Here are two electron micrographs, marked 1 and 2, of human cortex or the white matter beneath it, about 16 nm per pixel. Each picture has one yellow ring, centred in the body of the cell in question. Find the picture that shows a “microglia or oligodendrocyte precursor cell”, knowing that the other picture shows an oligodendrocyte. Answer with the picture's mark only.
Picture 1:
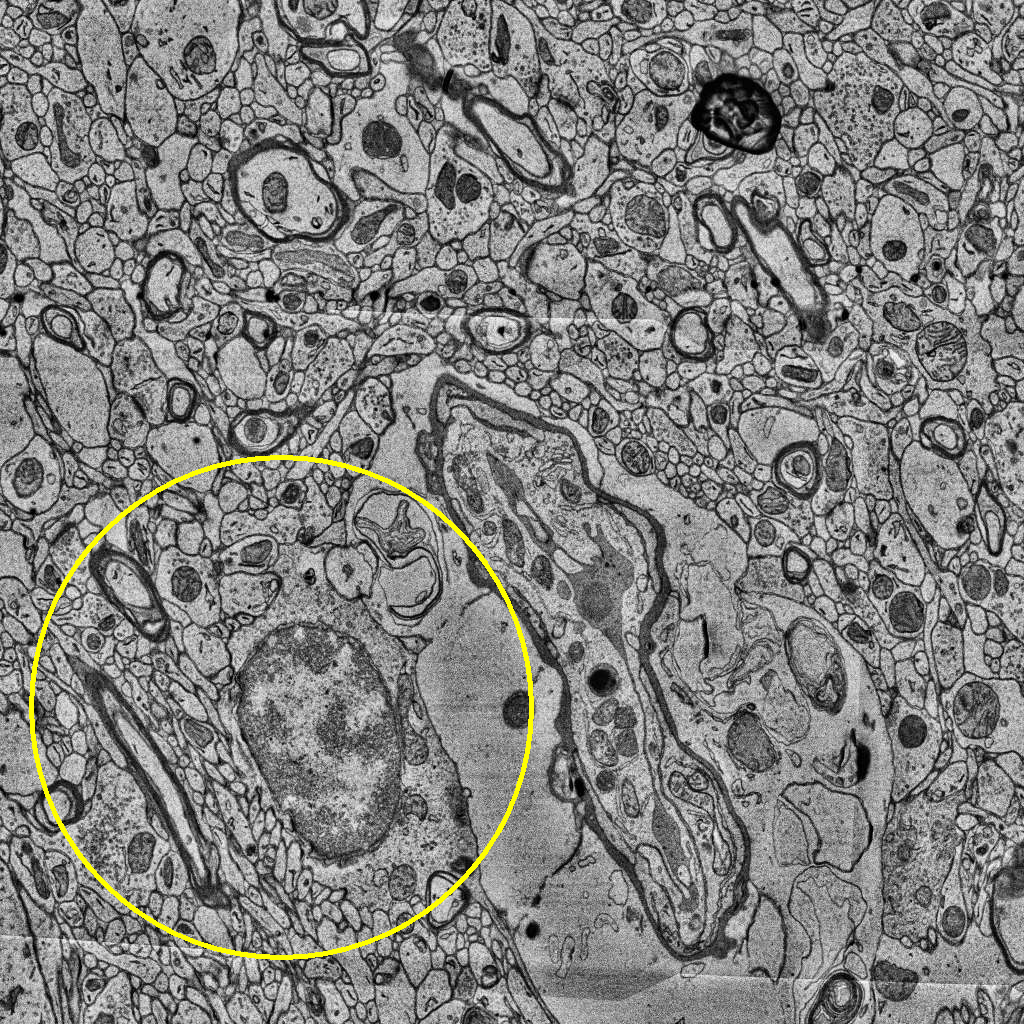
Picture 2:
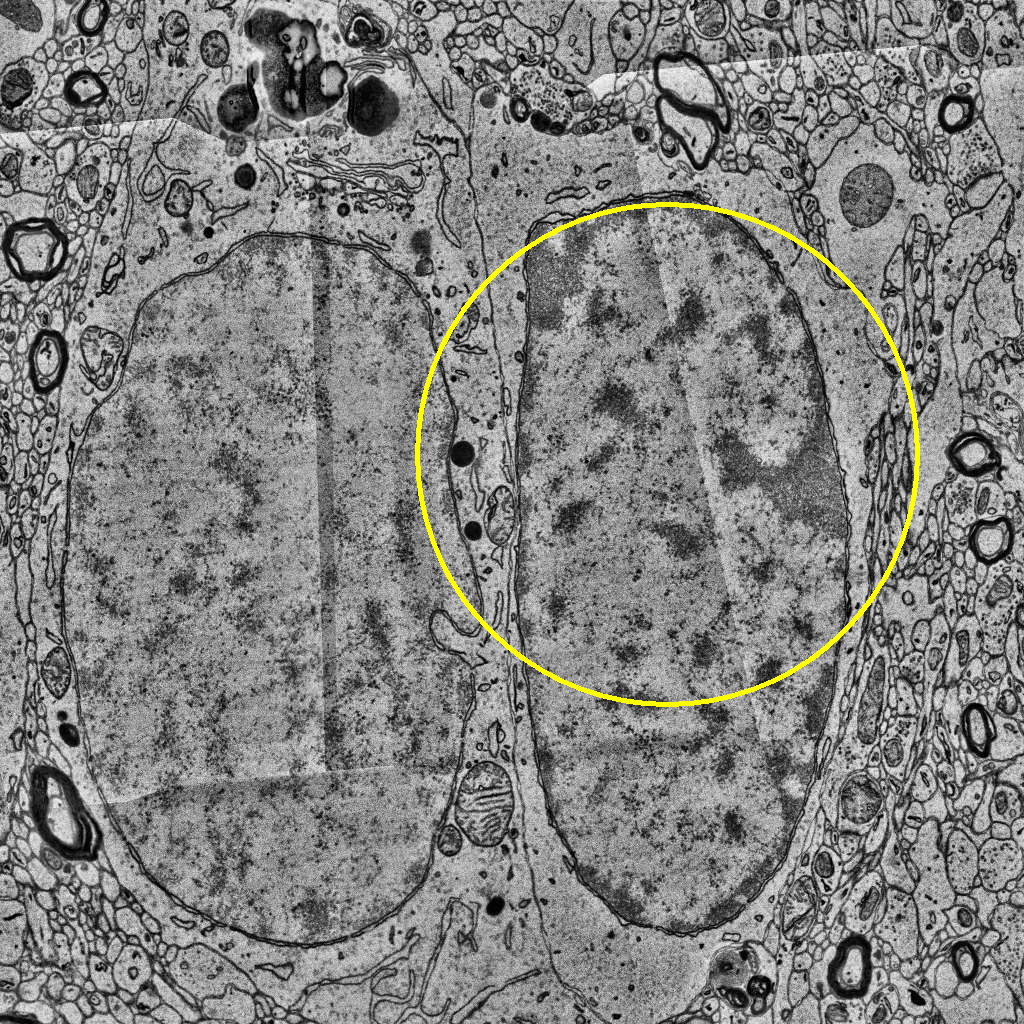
2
